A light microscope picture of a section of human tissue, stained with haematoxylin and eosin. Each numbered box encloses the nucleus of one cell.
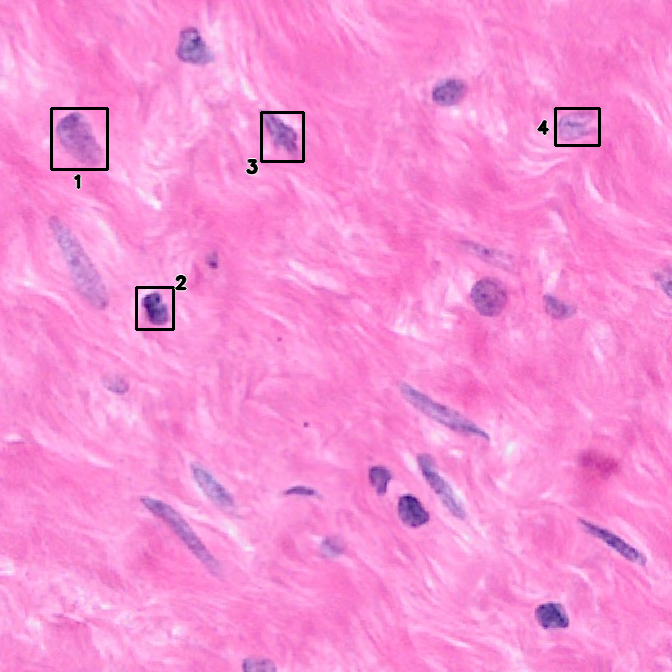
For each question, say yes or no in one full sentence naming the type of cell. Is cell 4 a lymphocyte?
No, cell 4 isn't a lymphocyte; it's a fibroblast.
